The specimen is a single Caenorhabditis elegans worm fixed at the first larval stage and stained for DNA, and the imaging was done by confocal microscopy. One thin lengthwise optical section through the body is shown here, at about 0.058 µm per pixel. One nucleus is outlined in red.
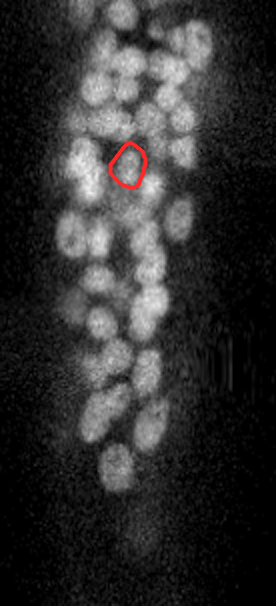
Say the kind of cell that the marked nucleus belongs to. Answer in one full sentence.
The nucleus comes from a pharyngeal muscle cell.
